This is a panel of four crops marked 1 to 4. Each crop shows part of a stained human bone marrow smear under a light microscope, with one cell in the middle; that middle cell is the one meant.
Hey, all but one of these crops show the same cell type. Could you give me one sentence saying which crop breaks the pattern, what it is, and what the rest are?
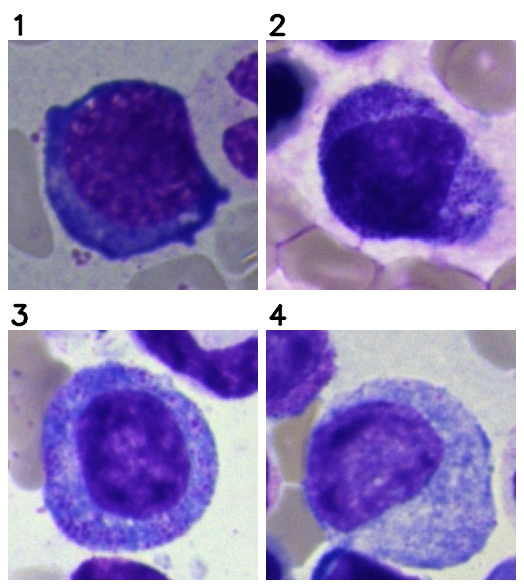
Of these crops, only crop 1 is a proerythroblast; the others are promyelocytes.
